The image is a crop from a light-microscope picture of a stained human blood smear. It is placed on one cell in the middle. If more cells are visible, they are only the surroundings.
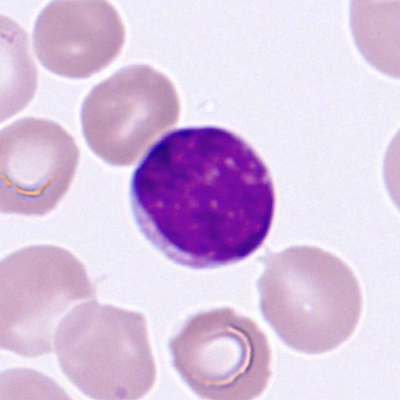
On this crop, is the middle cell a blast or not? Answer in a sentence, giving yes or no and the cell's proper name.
No, at the middle of the crop is a lymphocyte, not a blast.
